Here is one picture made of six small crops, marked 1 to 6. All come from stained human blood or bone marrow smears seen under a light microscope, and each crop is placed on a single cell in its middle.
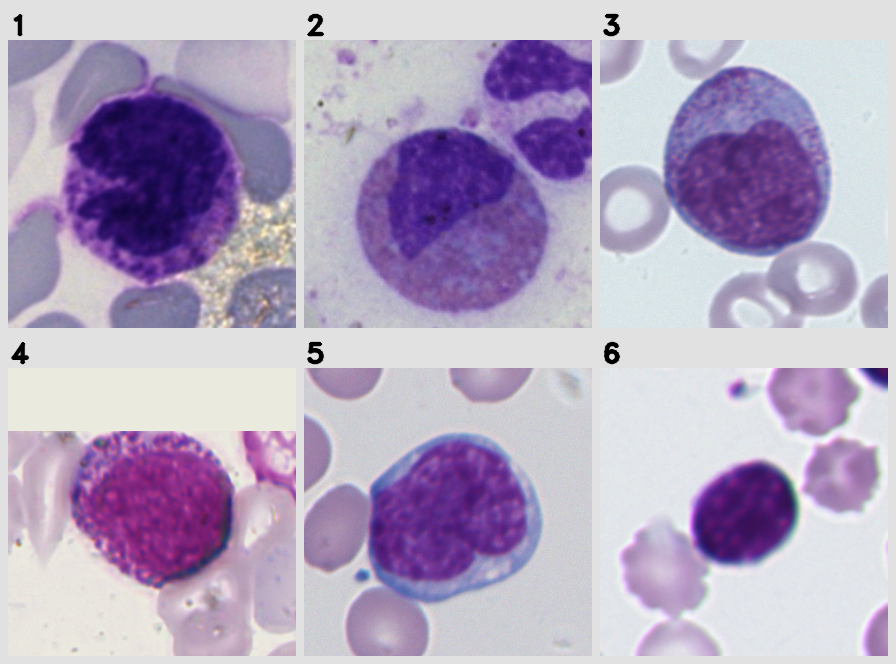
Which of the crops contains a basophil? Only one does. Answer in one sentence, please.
Here the crop that shows a basophil is crop 1.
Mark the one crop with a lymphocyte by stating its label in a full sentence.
The crop that has a lymphocyte in the middle is crop 6.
